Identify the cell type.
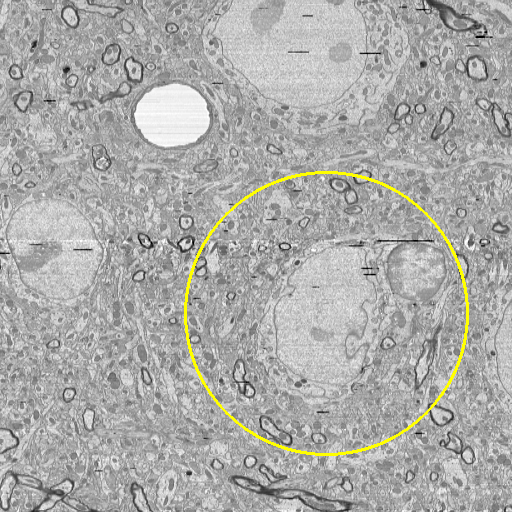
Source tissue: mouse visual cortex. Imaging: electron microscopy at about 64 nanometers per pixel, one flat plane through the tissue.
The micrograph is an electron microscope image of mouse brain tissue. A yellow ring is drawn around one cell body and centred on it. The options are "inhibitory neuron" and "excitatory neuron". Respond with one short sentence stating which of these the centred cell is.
The cell body in the ring belongs to an inhibitory neuron.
